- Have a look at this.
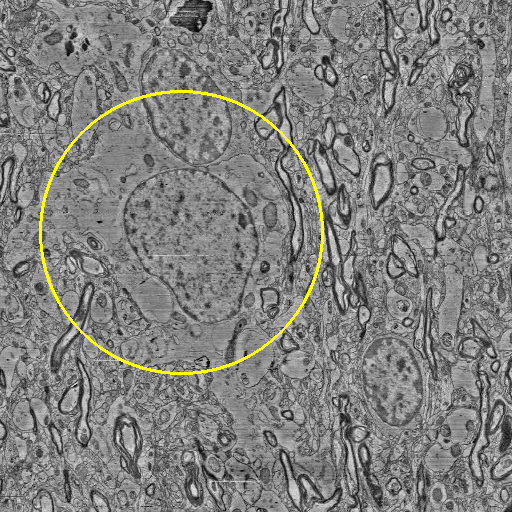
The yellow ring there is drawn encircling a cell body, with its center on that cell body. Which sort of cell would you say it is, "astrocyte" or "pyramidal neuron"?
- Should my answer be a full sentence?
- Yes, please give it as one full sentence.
For this picture, an astrocyte is the cell where the yellow ring has its center.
